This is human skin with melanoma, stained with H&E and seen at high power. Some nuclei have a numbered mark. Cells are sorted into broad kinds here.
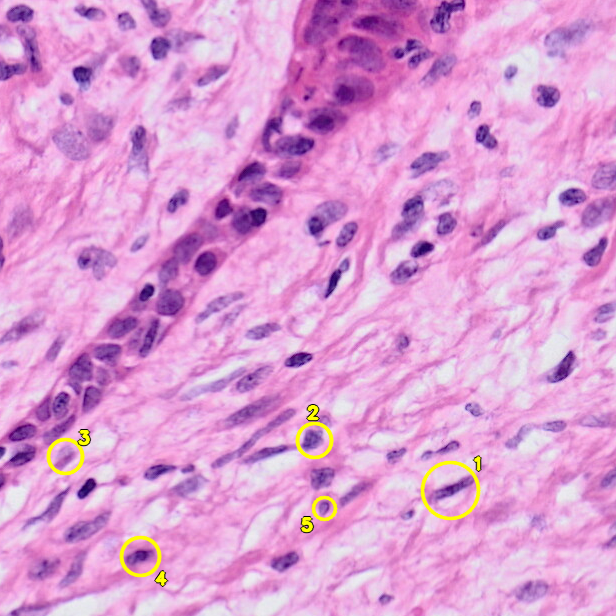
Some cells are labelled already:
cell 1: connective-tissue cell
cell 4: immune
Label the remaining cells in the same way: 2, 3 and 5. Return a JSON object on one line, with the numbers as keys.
{"2": "immune", "3": "connective-tissue cell", "5": "immune"}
